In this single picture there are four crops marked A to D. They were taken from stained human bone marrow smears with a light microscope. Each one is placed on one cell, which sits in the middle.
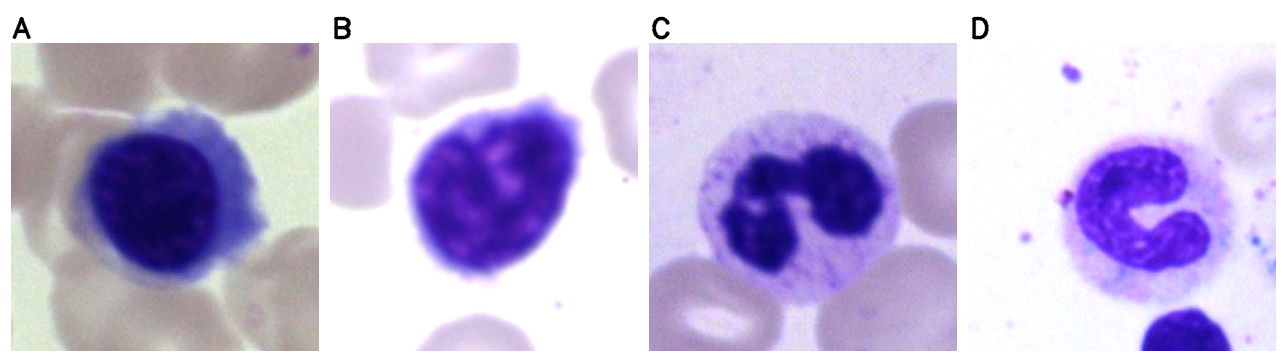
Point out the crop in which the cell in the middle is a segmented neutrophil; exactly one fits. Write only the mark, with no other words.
C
